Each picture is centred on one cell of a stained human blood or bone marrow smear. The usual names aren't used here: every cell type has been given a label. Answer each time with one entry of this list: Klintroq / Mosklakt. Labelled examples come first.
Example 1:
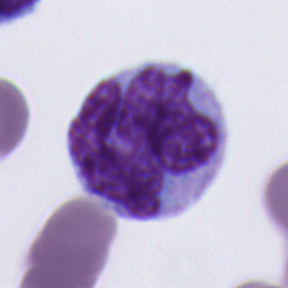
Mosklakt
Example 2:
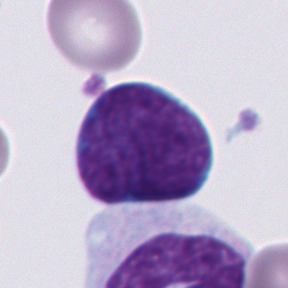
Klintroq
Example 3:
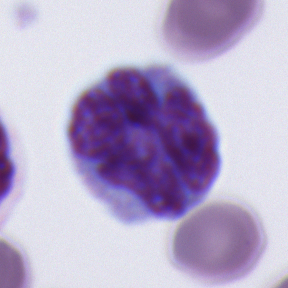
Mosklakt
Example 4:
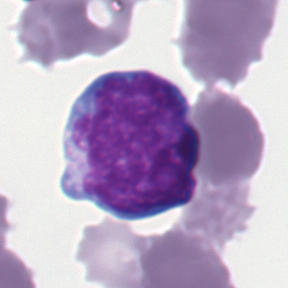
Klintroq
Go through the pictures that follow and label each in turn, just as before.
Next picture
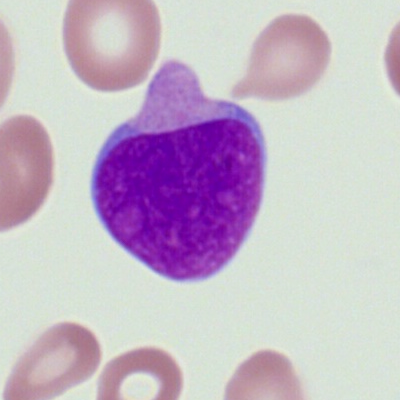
Klintroq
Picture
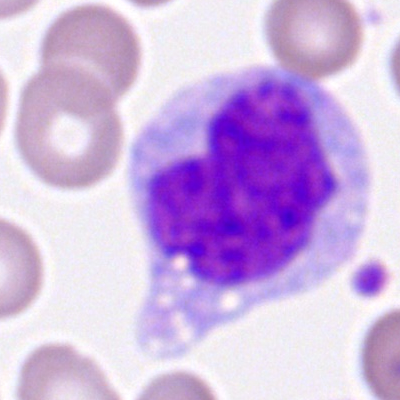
Mosklakt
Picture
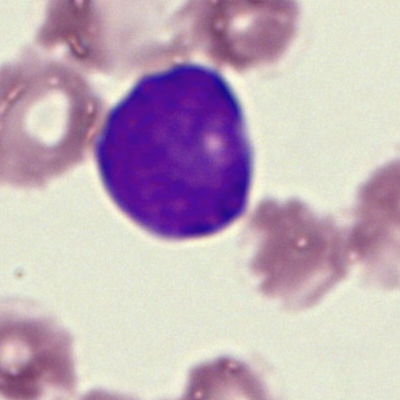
Klintroq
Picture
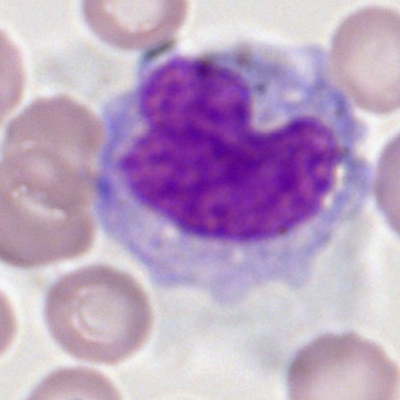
Mosklakt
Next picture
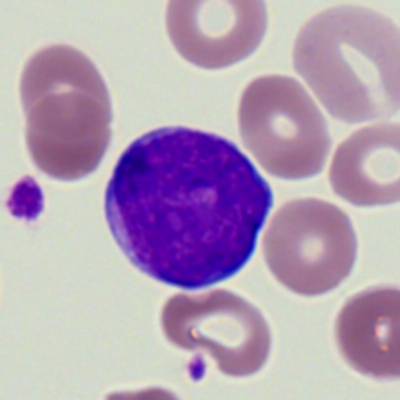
Klintroq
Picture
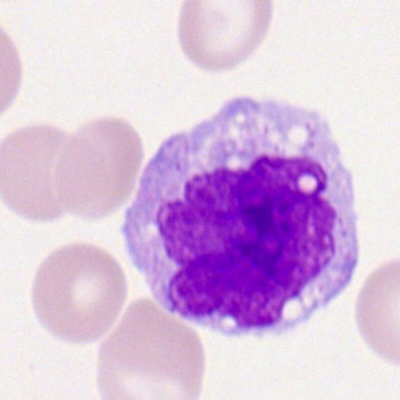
Mosklakt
